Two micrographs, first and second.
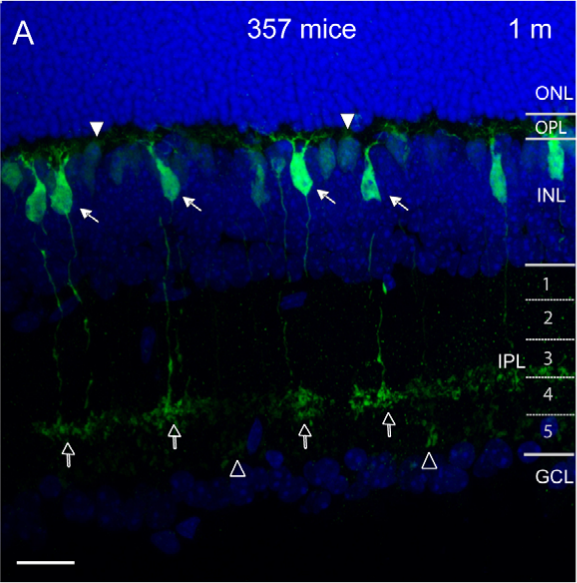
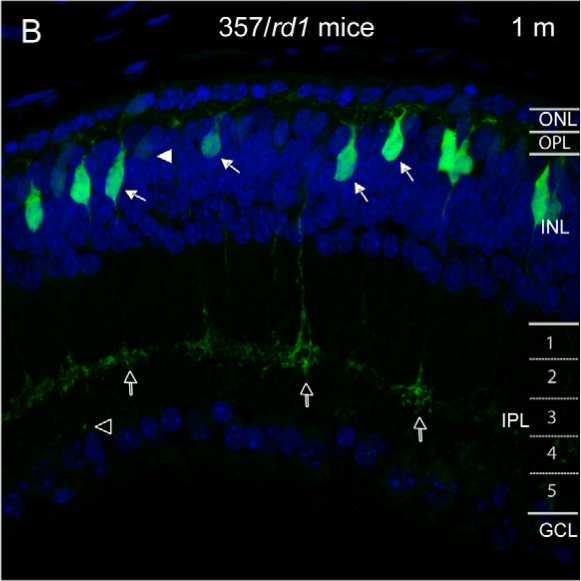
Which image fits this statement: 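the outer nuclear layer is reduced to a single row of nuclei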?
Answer: The second image.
